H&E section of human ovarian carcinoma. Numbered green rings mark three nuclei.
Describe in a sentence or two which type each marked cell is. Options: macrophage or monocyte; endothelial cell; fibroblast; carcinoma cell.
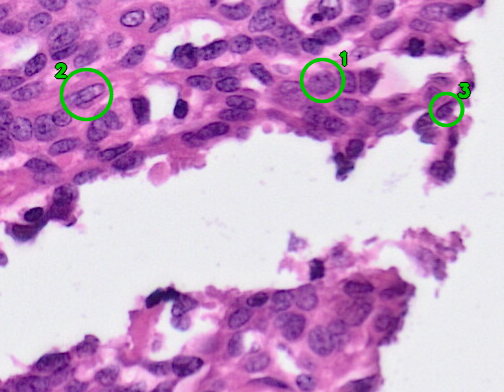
Cell 1 is a carcinoma cell, cell 2 is an endothelial cell and cell 3 is a carcinoma cell.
